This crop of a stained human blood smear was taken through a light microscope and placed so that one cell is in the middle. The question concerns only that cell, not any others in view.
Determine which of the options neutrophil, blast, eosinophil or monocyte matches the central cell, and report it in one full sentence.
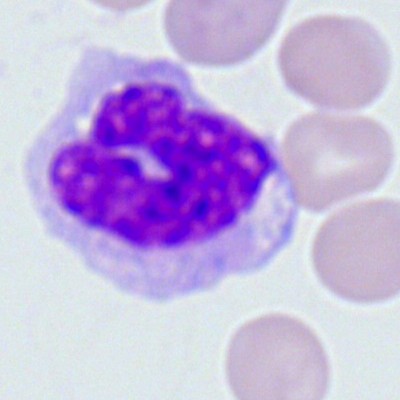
The centrally located cell in the crop is a monocyte.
